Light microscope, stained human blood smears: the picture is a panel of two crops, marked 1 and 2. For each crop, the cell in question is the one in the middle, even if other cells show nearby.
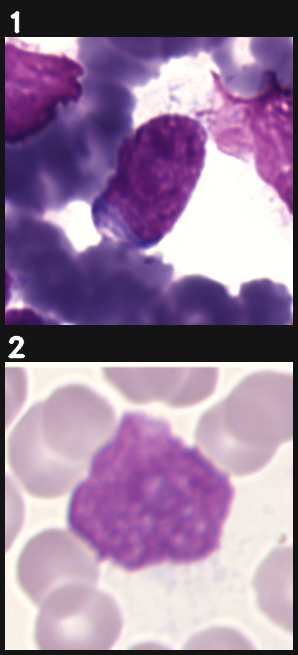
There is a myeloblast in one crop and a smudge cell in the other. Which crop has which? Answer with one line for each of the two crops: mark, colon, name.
1: myeloblast
2: smudge cell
